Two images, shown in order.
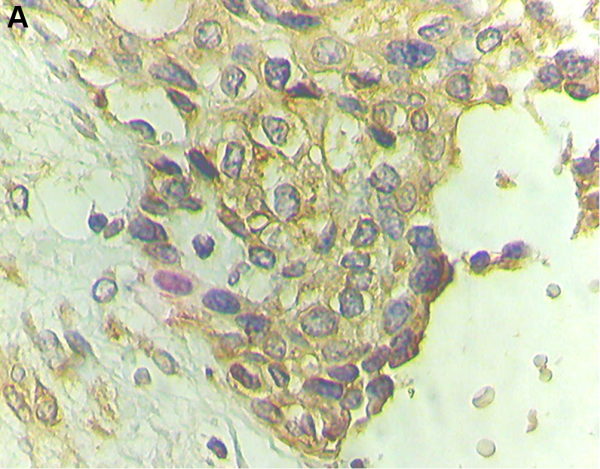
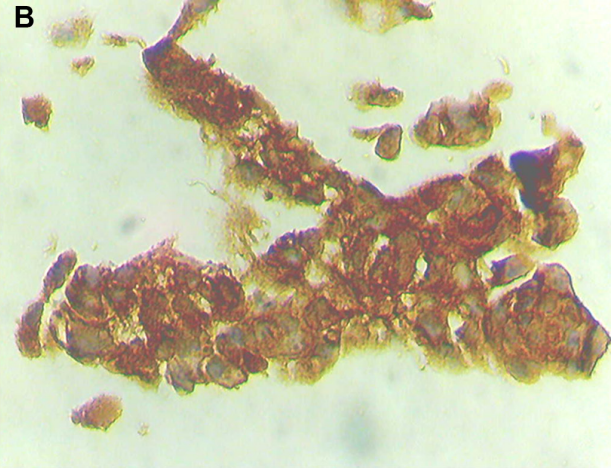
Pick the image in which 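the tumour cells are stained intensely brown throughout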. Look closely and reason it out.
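The second image. Second image: clusters of tumour cells are dark brown throughout, nuclei largely obscured. First image: tumour cells show mostly blue nuclei with only faint brownish cytoplasm.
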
